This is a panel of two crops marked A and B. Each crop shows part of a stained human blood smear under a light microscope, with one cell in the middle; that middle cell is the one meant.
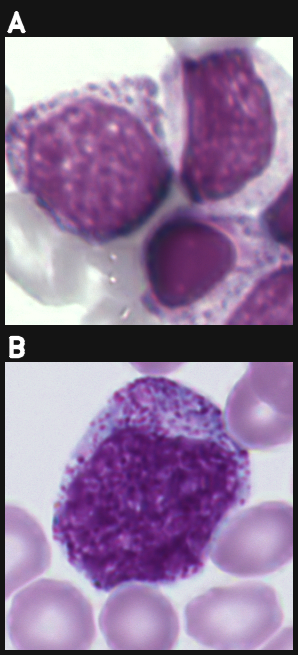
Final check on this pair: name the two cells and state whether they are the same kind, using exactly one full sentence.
Yes, both crops alike show myelocytes at the centre.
